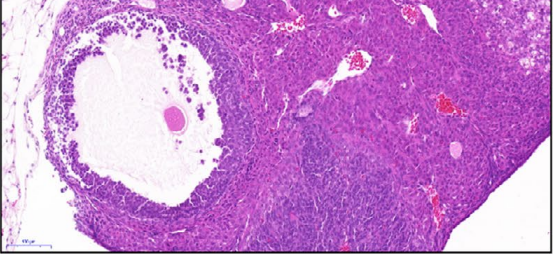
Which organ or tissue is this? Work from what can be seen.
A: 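A large follicle with a fluid-filled cavity and an oocyte inside. Dense stroma with small blood vessels surrounds the follicle.
Conclusion: ovary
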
